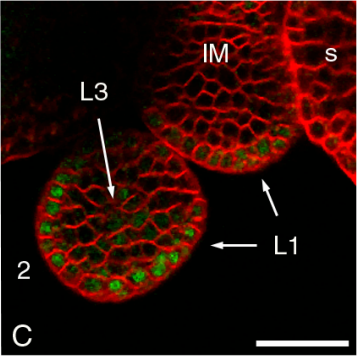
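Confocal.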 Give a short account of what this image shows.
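A round young flower bud sits beside the larger meristem, both made of small polygonal cells whose walls are outlined in red. Green nuclei light up in a ring along the outermost cell layer of the bud, and a few green nuclei also appear among the inner cells at its centre.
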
